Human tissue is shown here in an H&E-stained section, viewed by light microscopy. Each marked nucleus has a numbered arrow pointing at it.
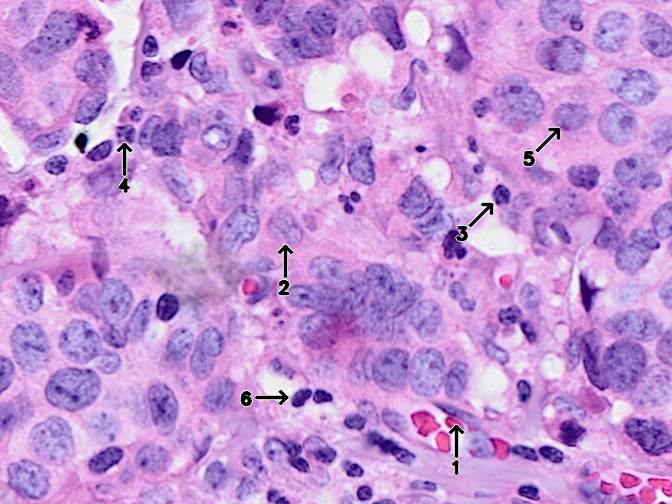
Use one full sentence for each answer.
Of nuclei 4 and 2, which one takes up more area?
It is nucleus 2, which covers about 2.5 times the area of nucleus 4.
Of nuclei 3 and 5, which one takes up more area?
The larger nucleus is 5, at roughly 2.5 times the area of 3.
